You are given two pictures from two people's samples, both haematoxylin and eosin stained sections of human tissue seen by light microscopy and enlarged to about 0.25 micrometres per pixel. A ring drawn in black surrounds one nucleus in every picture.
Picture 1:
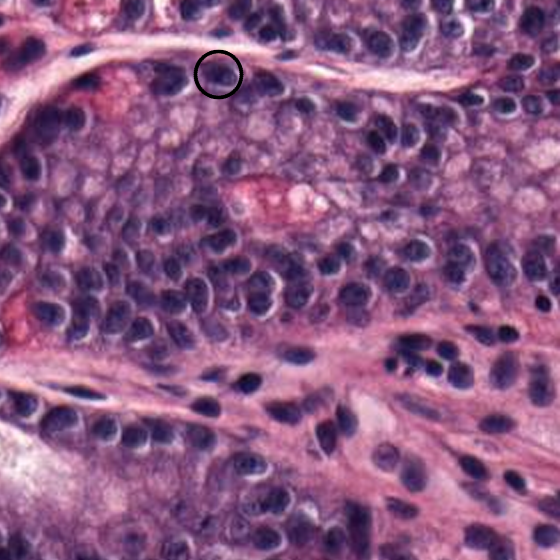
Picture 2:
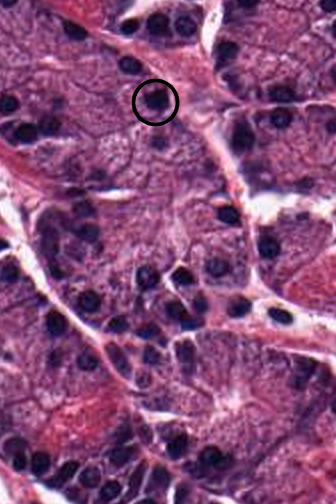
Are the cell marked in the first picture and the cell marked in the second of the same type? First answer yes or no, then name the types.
Yes, both are chief cells.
